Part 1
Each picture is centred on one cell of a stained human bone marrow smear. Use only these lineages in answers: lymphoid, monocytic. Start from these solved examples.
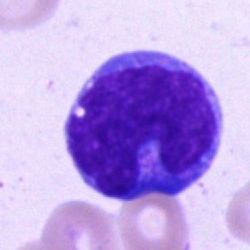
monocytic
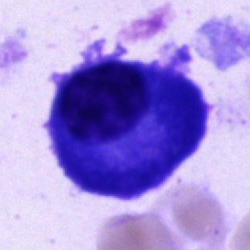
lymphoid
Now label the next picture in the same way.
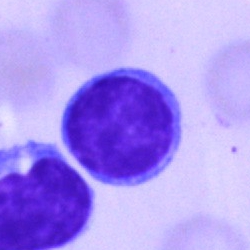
lymphoid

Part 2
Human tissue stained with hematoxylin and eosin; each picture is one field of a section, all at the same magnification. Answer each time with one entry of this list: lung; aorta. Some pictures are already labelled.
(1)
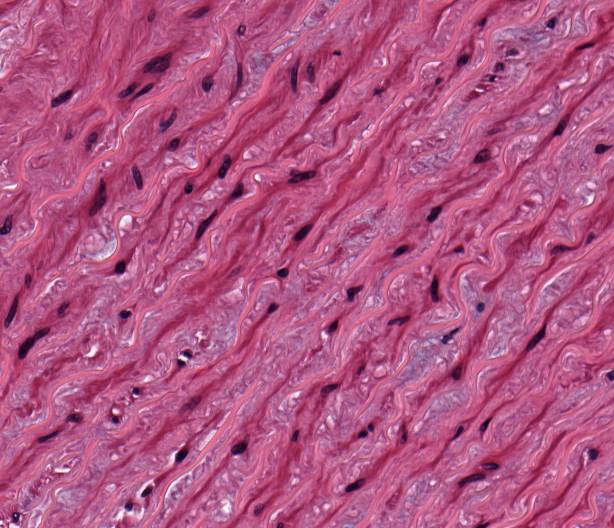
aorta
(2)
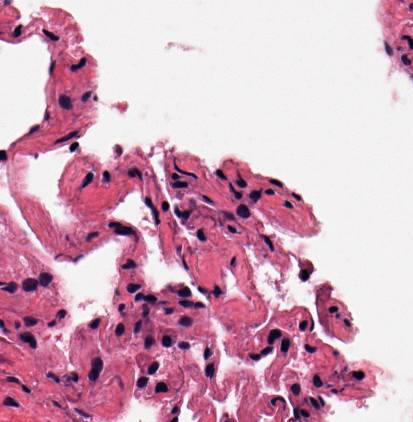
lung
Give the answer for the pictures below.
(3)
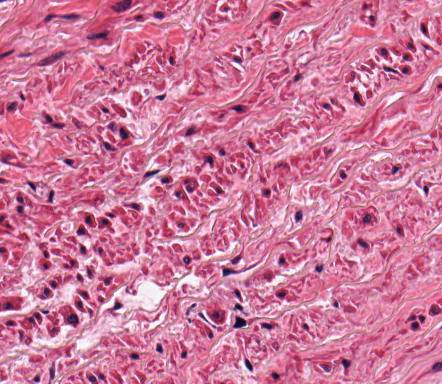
aorta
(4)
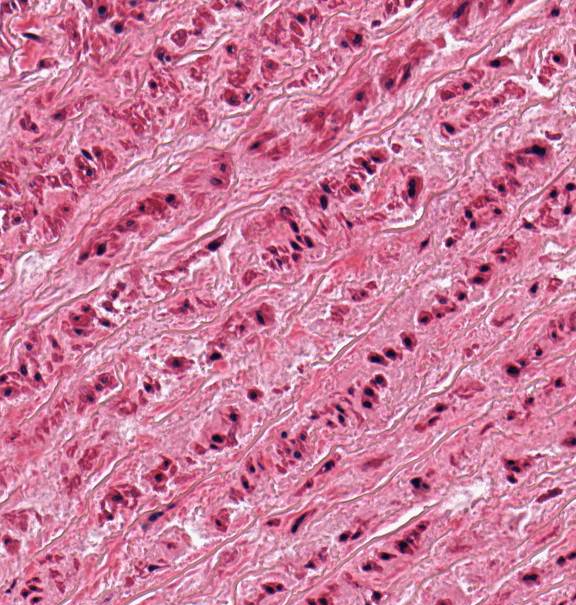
aorta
